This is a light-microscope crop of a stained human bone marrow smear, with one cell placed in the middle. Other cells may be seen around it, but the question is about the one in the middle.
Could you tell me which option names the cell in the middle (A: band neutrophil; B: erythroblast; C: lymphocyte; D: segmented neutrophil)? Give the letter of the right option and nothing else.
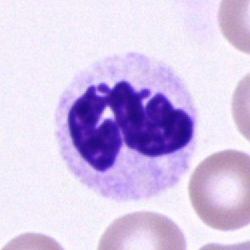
D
